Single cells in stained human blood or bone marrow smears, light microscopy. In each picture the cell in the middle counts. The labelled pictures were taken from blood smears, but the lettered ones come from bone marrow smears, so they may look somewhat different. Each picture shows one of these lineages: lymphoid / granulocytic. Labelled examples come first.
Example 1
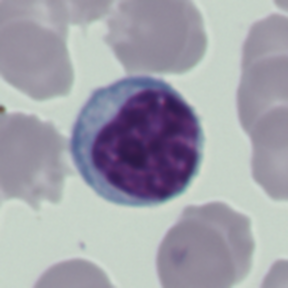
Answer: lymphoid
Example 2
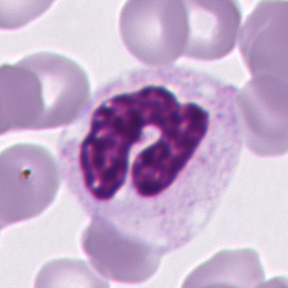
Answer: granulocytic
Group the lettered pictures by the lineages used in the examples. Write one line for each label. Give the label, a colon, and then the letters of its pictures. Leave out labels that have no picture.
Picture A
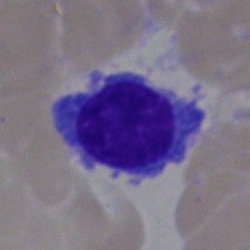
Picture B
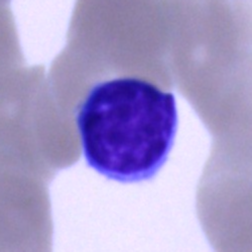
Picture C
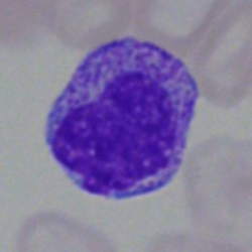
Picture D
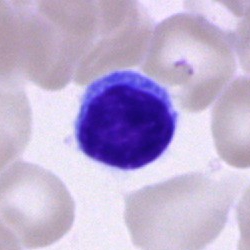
lymphoid: A, B, D
granulocytic: C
